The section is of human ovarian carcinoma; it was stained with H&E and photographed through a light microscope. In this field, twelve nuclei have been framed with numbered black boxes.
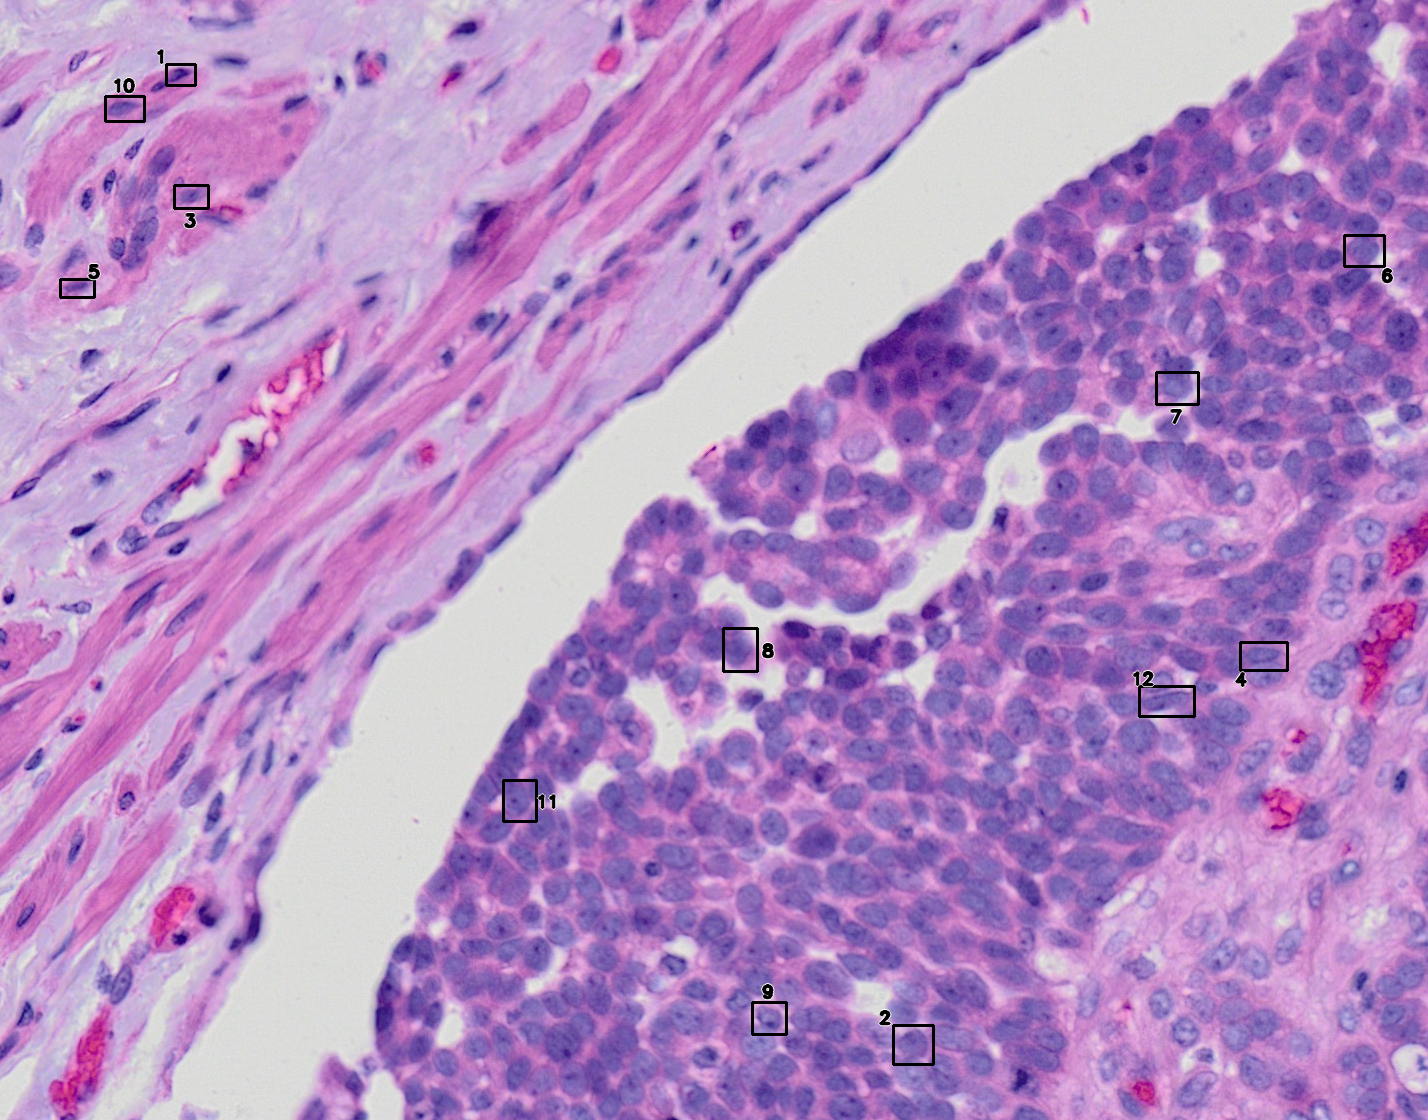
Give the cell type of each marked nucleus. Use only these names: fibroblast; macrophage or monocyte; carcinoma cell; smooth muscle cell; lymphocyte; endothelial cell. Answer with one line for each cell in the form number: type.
1: smooth muscle cell
2: carcinoma cell
3: smooth muscle cell
4: carcinoma cell
5: smooth muscle cell
6: carcinoma cell
7: carcinoma cell
8: carcinoma cell
9: macrophage or monocyte
10: smooth muscle cell
11: carcinoma cell
12: carcinoma cell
